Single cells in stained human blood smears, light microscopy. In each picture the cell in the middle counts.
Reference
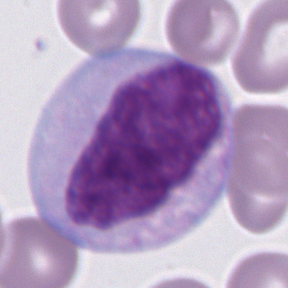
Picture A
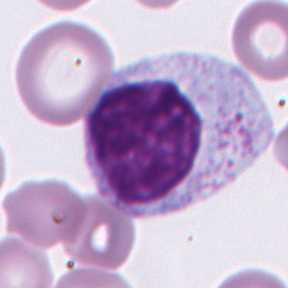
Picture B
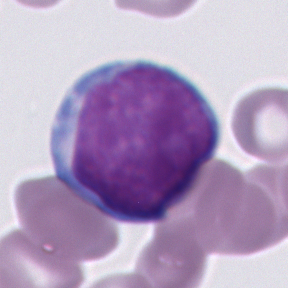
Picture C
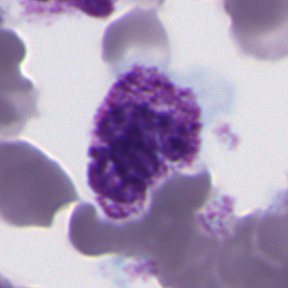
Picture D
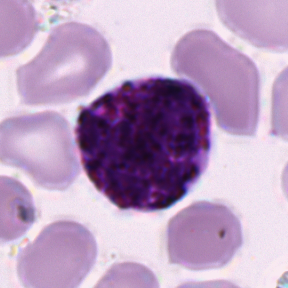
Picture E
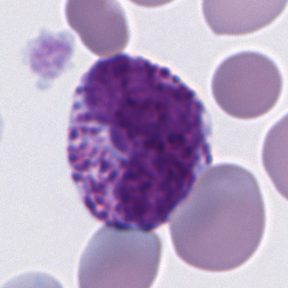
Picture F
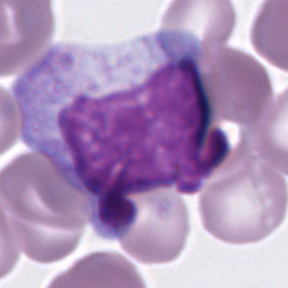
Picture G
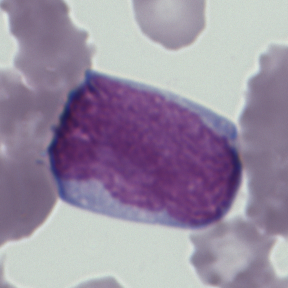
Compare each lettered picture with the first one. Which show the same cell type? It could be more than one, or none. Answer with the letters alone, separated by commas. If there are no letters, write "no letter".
no letter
